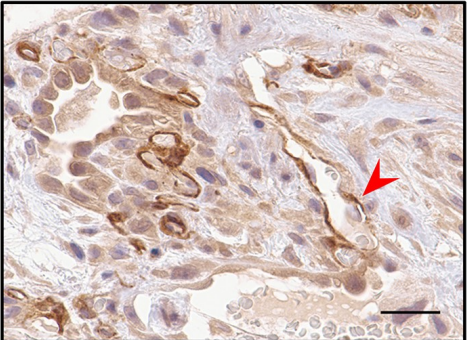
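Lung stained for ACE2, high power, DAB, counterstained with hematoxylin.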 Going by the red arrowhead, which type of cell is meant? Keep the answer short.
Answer: Vascular endothelial cells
